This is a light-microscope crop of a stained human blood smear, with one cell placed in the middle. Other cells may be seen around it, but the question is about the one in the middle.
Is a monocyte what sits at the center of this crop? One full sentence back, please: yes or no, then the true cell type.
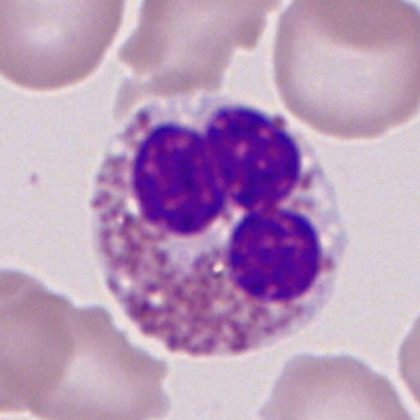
No, the cell in the middle is categorised as an eosinophil, not a monocyte.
